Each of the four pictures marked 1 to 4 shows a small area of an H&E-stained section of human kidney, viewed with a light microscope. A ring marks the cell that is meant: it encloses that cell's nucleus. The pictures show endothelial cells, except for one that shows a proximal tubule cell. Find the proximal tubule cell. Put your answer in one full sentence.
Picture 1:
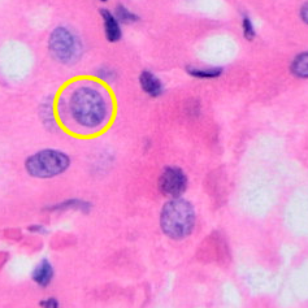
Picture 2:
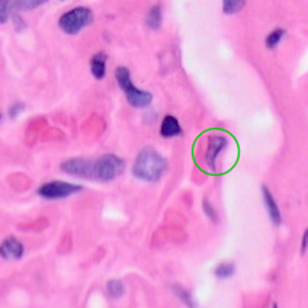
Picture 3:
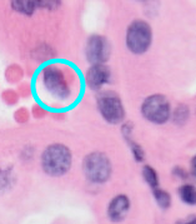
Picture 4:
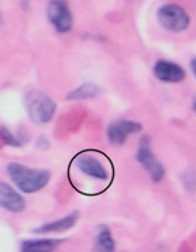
It is picture 1 that shows the proximal tubule cell.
